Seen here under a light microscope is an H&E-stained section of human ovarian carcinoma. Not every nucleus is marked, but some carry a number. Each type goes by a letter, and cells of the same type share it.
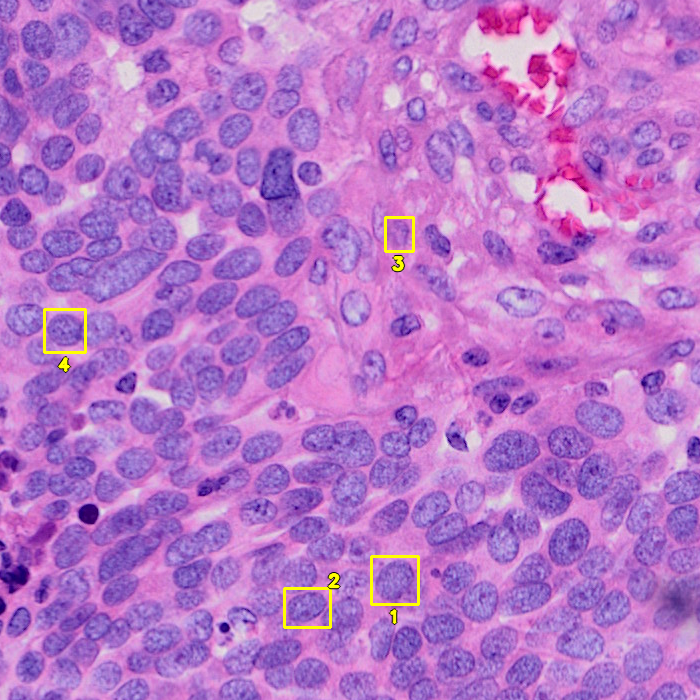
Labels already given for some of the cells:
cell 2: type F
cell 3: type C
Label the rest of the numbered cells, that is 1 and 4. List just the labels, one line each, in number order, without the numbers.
type F
type F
